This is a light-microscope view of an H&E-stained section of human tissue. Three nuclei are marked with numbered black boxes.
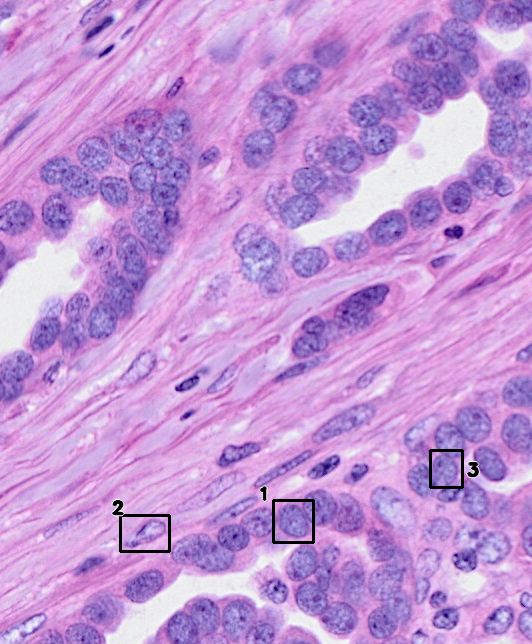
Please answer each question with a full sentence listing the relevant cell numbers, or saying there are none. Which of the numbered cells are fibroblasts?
Among the numbered cells, cell 2 alone is a fibroblast.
